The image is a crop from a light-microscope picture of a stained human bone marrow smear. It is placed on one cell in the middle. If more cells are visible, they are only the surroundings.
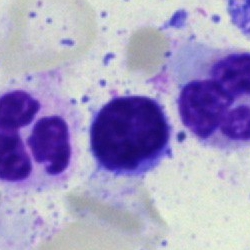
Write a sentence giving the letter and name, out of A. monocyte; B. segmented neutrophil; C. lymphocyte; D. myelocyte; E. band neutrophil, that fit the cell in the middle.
The cell positioned centrally is a lymphocyte, as given in option C, which is correct.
